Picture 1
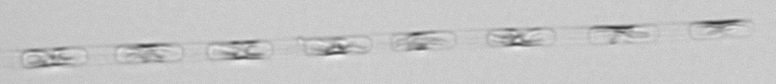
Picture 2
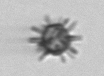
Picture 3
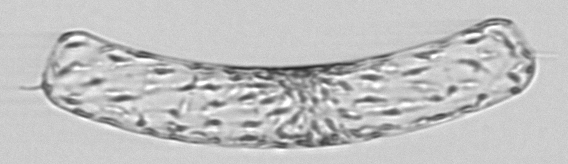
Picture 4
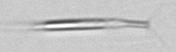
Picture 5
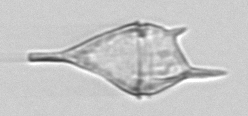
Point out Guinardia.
That is picture 3.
